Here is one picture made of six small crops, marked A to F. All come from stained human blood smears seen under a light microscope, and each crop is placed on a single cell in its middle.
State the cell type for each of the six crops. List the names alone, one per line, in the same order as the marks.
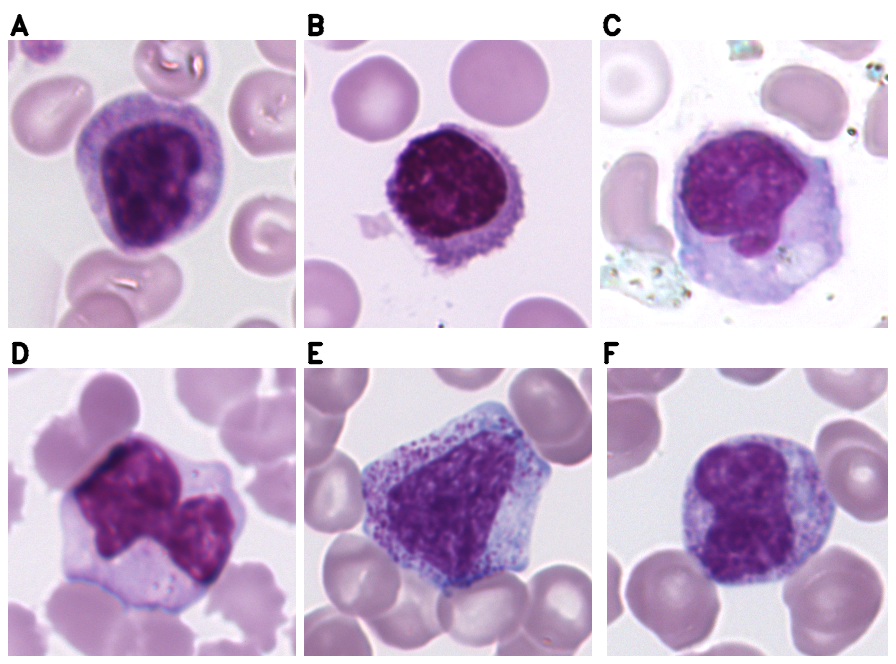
metamyelocyte
typical lymphocyte
plasma cell
large granular lymphocyte
promyelocyte
metamyelocyte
